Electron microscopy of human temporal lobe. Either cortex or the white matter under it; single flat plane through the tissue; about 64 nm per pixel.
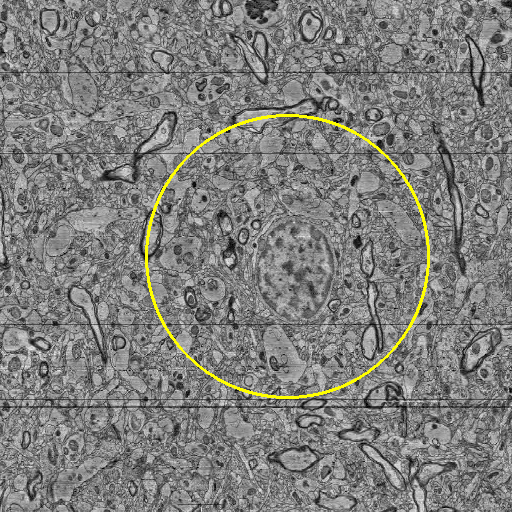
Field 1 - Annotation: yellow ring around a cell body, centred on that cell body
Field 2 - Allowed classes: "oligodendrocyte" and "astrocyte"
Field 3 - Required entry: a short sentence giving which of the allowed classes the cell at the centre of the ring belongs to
The centred cell is an oligodendrocyte.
